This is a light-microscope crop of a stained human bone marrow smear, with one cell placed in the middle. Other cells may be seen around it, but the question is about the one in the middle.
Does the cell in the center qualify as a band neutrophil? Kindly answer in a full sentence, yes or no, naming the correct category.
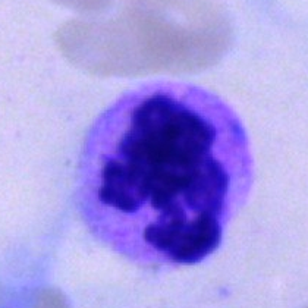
No, the cell in the centre of the crop is a segmented neutrophil as opposed to a band neutrophil.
